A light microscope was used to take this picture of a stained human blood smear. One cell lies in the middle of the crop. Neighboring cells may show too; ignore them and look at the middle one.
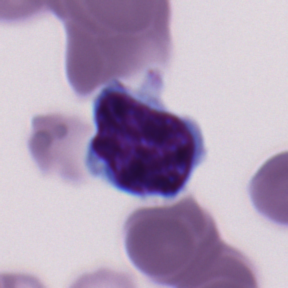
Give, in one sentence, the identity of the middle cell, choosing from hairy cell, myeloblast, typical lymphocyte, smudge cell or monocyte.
The central cell in this smear crop is a typical lymphocyte.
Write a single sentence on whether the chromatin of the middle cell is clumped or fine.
The chromatin pattern here is coarse and clumped.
